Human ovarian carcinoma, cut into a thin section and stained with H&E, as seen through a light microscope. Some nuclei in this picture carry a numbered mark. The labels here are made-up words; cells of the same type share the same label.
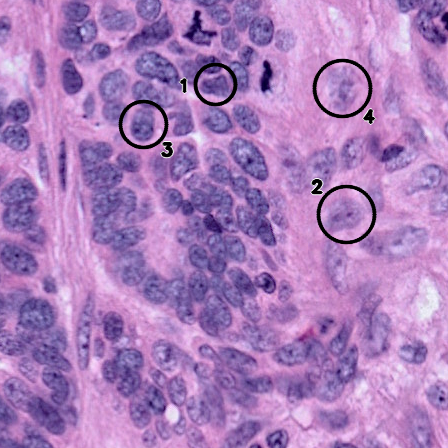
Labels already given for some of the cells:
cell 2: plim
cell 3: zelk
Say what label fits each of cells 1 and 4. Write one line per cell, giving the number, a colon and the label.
1: zelk
4: plim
